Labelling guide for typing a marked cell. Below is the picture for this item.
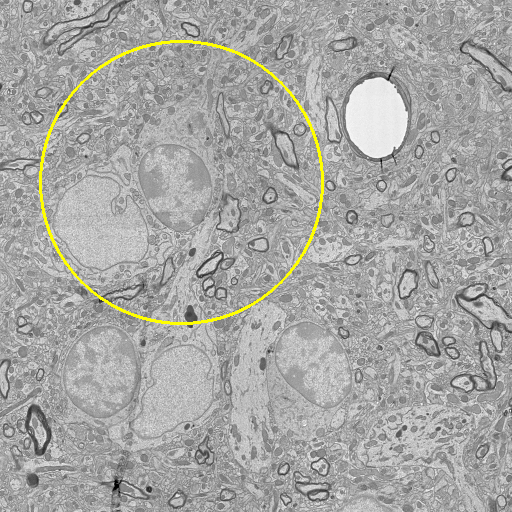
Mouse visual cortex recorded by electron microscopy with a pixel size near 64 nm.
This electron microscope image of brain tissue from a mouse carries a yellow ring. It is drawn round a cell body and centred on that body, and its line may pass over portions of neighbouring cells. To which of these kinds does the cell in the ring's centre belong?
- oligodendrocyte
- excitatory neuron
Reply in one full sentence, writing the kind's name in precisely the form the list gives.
Here we have an oligodendrocyte at the centre of the yellow ring in the picture.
